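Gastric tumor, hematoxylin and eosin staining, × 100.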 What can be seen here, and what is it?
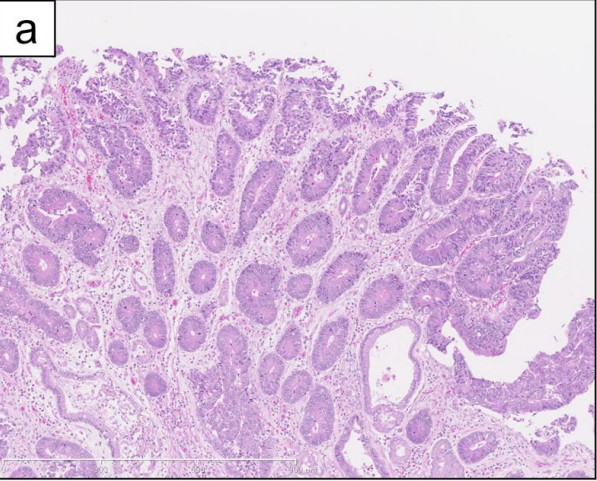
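Look at the glands: they are irregular in size and outline, some small and round, others elongated or branching, packed closely in a loose pink stroma. Toward the surface the epithelium is frayed. Small blood vessels with red cells run through the stroma between the glands.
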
